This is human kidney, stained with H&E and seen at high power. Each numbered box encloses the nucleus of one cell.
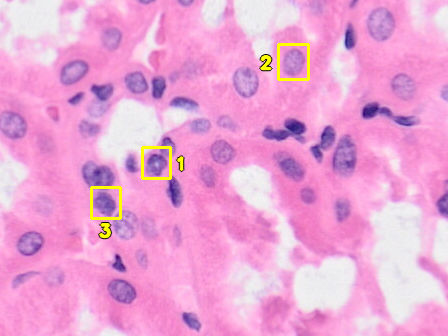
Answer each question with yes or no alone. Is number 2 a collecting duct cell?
no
